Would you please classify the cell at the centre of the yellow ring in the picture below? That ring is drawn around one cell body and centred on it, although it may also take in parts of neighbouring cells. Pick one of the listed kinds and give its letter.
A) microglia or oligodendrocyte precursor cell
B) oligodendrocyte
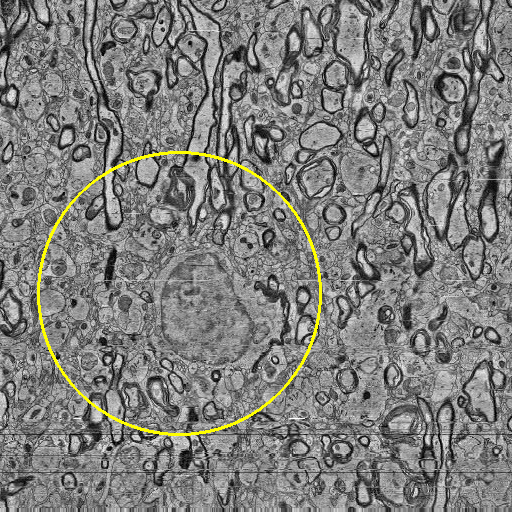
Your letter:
B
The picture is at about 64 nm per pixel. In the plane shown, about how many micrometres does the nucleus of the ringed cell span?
About 7 by 6 micrometres in this plane.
